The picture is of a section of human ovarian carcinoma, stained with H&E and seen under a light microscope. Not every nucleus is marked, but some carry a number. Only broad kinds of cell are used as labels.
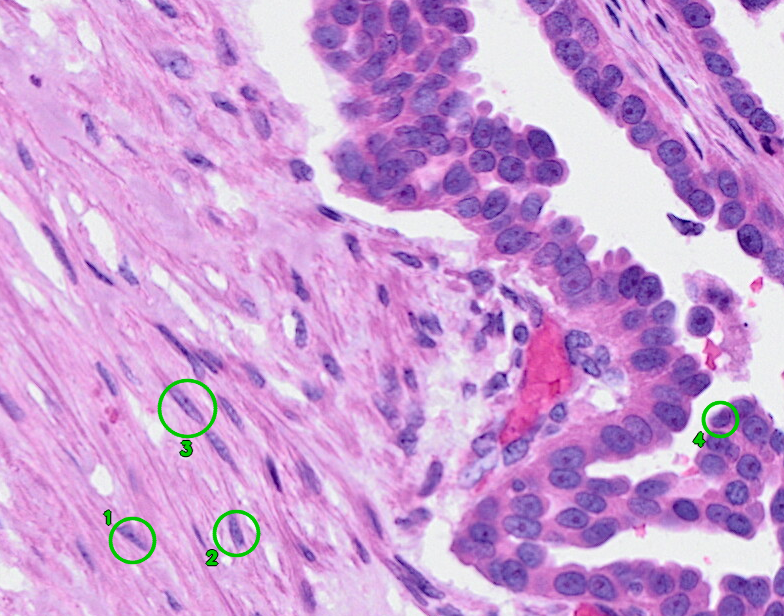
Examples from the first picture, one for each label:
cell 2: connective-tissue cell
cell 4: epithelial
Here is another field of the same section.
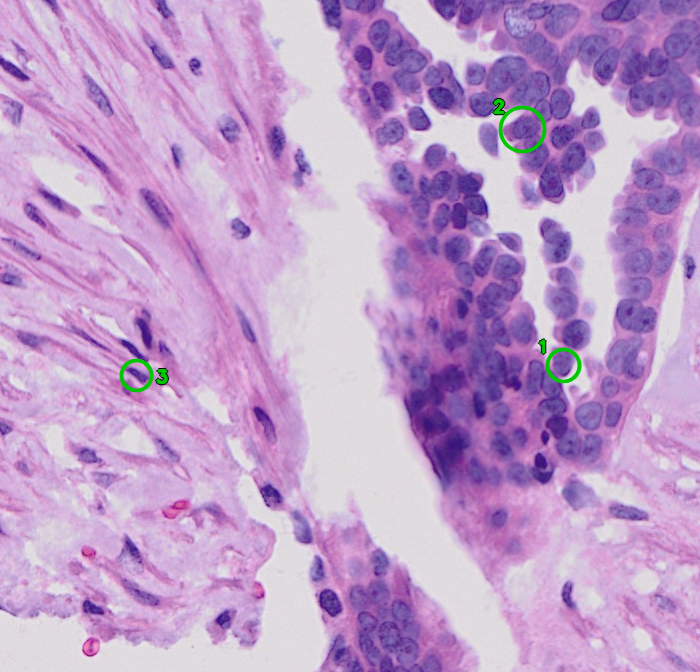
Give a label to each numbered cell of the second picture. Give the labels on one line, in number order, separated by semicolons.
epithelial; epithelial; connective-tissue cell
